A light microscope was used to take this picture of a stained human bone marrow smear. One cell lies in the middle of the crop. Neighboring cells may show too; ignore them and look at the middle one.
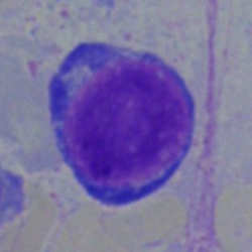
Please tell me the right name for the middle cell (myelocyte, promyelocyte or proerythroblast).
proerythroblast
